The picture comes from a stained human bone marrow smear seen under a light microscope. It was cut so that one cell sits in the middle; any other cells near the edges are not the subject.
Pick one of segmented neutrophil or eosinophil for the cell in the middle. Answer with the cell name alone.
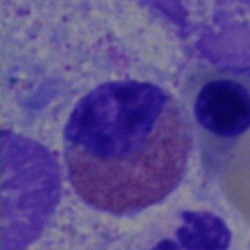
eosinophil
